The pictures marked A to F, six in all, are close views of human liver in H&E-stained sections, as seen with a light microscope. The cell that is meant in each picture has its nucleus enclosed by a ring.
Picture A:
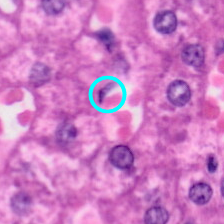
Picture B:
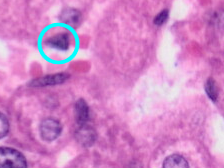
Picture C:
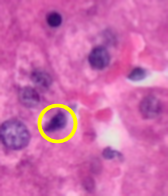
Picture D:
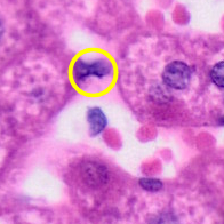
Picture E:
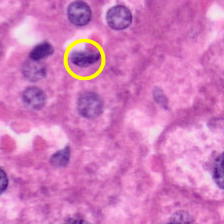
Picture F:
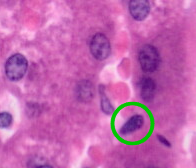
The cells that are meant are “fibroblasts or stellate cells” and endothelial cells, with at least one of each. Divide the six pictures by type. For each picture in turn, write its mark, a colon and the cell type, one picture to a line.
A: endothelial cell
B: endothelial cell
C: fibroblast or stellate cell
D: endothelial cell
E: endothelial cell
F: fibroblast or stellate cell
